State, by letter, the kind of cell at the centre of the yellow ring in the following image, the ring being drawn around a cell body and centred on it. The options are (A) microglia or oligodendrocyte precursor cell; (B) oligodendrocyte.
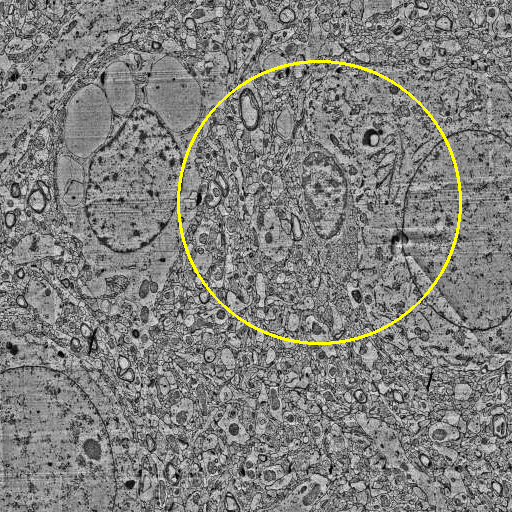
B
